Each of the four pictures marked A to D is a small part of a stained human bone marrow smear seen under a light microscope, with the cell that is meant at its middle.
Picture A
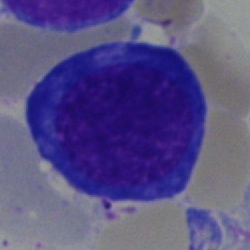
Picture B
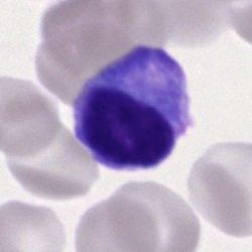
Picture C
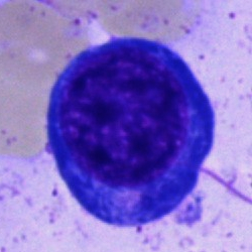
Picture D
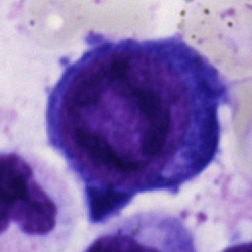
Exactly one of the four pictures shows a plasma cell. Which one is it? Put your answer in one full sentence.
Picture B shows the plasma cell.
